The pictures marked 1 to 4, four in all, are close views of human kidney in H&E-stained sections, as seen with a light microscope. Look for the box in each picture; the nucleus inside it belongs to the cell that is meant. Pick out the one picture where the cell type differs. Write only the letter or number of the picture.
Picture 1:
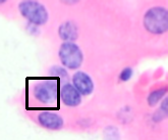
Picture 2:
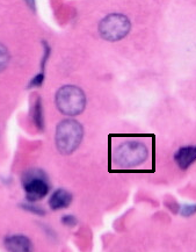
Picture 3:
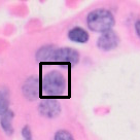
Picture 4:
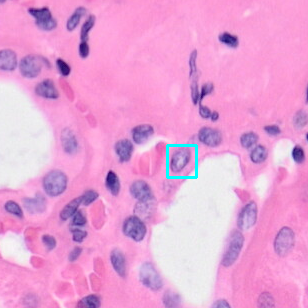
2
